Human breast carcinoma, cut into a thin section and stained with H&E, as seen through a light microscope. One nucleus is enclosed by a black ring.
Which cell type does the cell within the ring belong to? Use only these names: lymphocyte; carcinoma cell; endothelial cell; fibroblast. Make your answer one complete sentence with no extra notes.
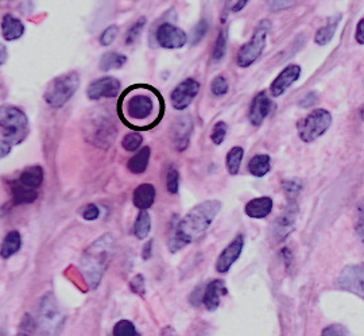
The identity of the cell within the ring: it is a lymphocyte.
